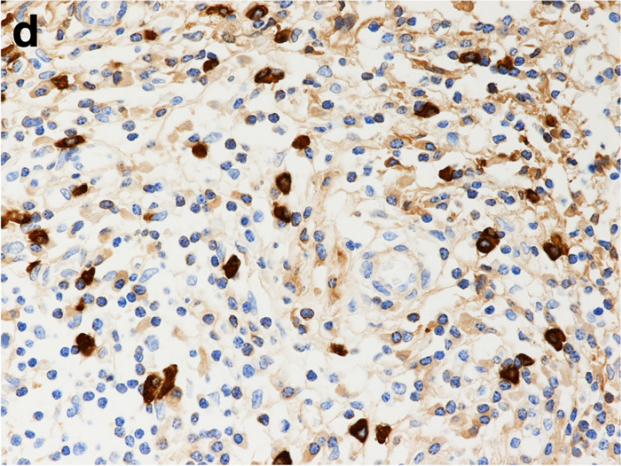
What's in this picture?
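Here a loose, inflamed stroma is crowded with cells, and a subset of them, plasma cells, stand out with strongly dark brown cytoplasm. These brown cells are round to oval, often with a round nucleus set to one side, and they lie scattered singly across the field. Around them are many unstained cells with small round or oval blue nuclei, and the background holds a paler, fainter tan stain along fine strands between the cells. A small vessel with a thin wall is seen in the middle right, surrounded by the same mixture of cells.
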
